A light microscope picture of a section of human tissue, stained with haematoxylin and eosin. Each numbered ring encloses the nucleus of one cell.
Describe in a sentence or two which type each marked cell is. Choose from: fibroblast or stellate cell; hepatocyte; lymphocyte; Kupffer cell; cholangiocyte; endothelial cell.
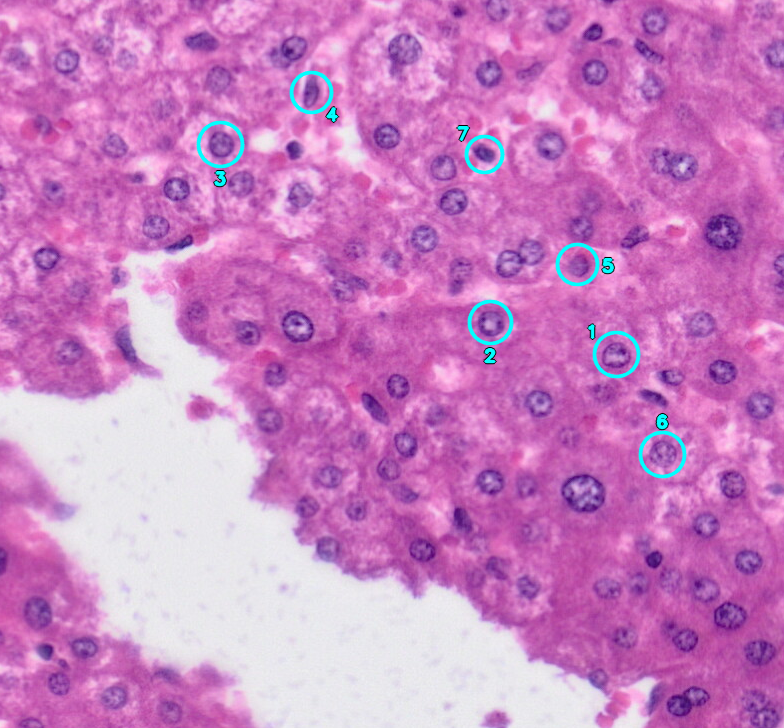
Cells 1, 2, 3 and 6 are hepatocytes. Cells 4 and 5 are Kupffer cells. Cell 7 is a lymphocyte.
